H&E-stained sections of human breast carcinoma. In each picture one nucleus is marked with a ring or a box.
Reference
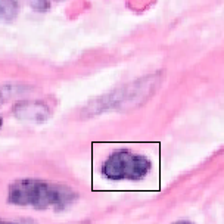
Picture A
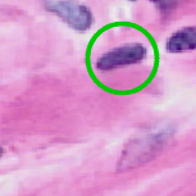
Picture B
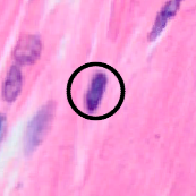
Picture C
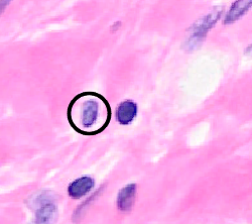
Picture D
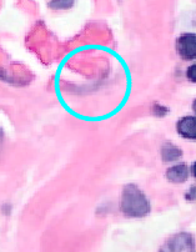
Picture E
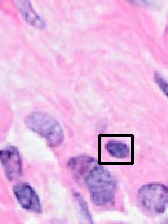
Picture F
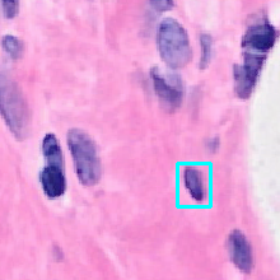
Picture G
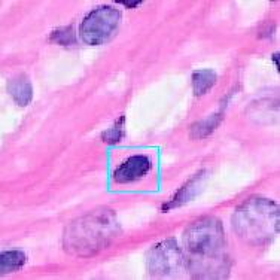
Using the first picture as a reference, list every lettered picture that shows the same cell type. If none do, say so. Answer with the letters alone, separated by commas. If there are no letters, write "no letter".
A, B, C, E, F, G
